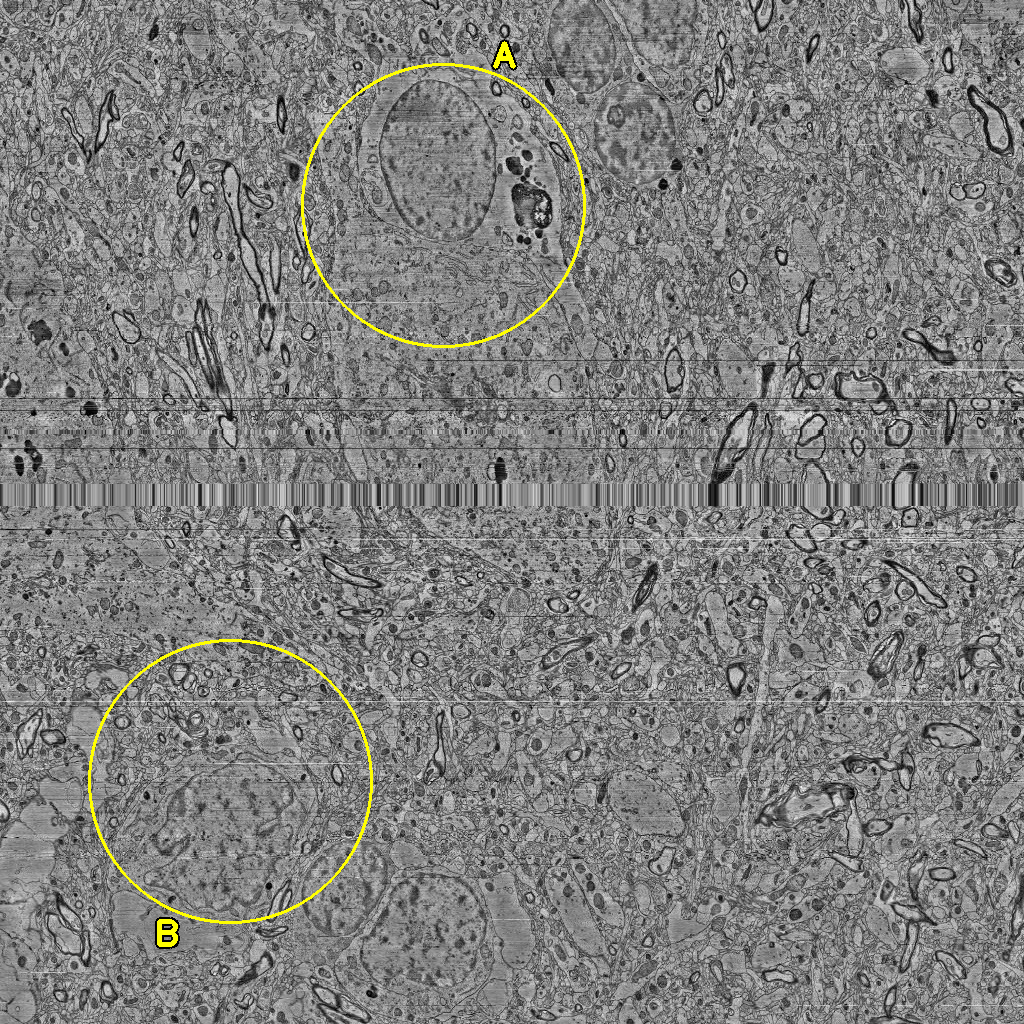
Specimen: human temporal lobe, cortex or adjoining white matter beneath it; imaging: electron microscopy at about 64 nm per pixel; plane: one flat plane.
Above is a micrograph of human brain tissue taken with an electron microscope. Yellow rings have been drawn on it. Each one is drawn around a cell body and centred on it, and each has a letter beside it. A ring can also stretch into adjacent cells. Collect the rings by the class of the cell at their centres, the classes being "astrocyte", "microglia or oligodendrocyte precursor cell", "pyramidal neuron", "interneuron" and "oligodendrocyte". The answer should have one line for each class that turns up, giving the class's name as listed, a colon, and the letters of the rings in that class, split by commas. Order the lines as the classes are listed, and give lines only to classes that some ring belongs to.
astrocyte: A
interneuron: B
